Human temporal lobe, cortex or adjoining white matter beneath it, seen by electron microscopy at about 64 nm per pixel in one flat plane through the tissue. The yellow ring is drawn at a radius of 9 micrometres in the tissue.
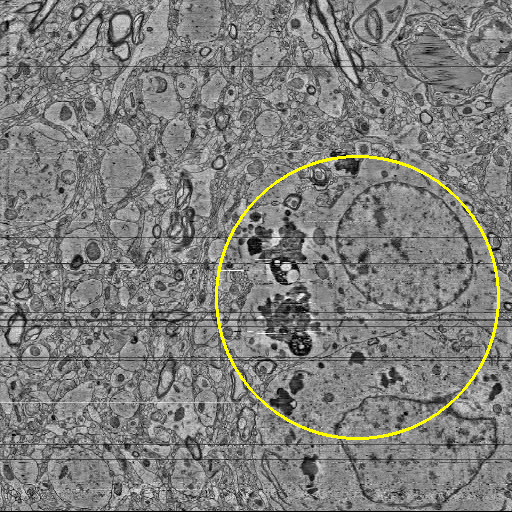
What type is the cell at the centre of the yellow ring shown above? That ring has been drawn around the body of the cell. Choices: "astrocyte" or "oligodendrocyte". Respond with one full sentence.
My answer is that an astrocyte lies at the centre of the yellow ring above.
